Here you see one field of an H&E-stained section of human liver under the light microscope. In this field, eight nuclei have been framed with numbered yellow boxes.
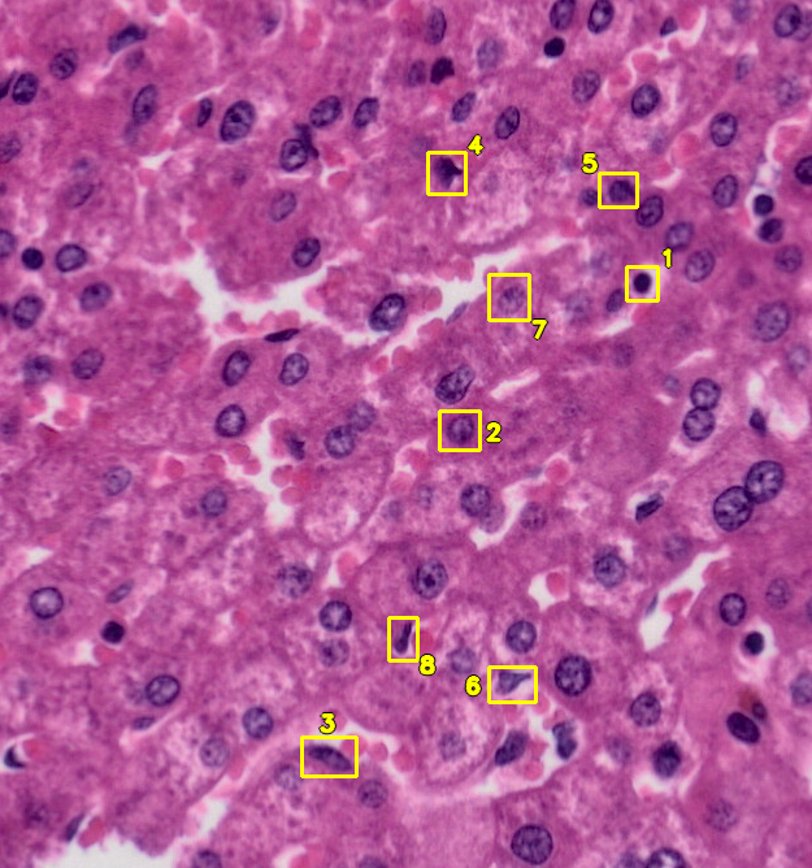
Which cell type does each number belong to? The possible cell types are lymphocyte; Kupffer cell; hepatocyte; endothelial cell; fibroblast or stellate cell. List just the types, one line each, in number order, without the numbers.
lymphocyte
hepatocyte
Kupffer cell
endothelial cell
fibroblast or stellate cell
endothelial cell
hepatocyte
endothelial cell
